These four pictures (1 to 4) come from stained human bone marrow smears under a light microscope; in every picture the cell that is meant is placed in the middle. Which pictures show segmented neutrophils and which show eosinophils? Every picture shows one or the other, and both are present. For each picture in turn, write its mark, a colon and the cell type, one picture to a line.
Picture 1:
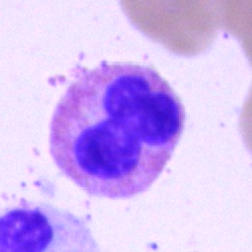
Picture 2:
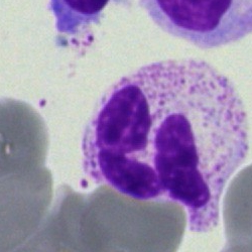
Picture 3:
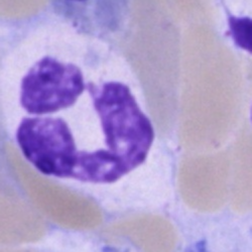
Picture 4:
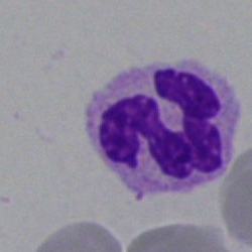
1: eosinophil
2: segmented neutrophil
3: segmented neutrophil
4: segmented neutrophil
